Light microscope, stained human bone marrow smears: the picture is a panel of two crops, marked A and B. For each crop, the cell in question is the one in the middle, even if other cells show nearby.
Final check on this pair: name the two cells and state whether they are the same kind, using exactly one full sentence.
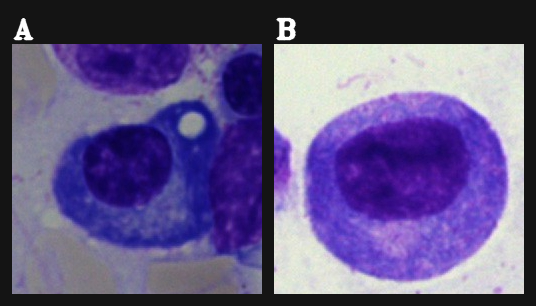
No, on this set crop A shows a plasma cell and crop B shows a promyelocyte.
